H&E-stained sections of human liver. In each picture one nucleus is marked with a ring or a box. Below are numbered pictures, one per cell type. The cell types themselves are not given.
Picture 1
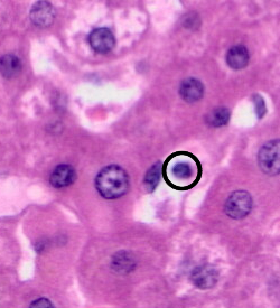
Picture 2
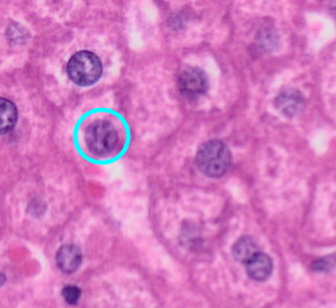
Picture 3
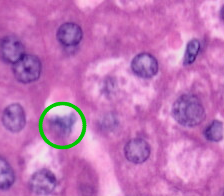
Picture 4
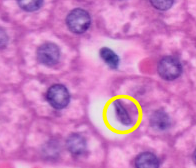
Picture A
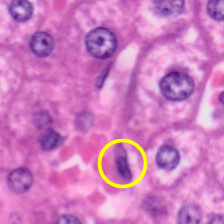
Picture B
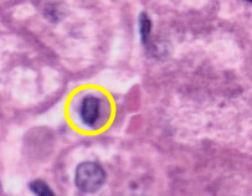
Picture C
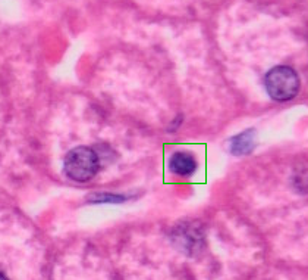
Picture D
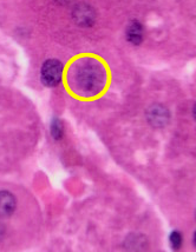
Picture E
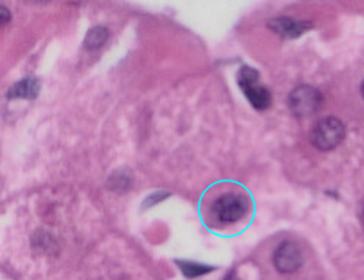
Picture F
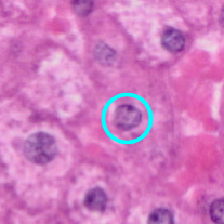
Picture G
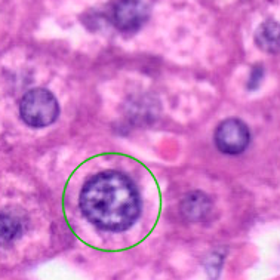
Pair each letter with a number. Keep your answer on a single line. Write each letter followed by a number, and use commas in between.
A 4, B 4, C 1, D 2, E 4, F 2, G 2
